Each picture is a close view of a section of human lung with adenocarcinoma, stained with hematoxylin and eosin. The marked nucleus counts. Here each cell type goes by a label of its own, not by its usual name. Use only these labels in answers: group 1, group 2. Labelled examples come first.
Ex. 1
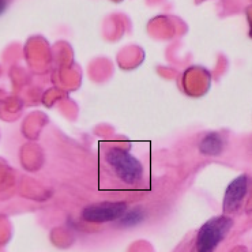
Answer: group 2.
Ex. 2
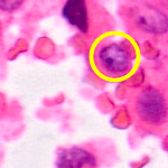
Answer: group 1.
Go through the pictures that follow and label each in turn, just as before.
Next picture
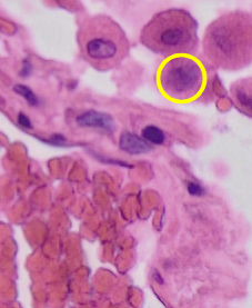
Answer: group 1.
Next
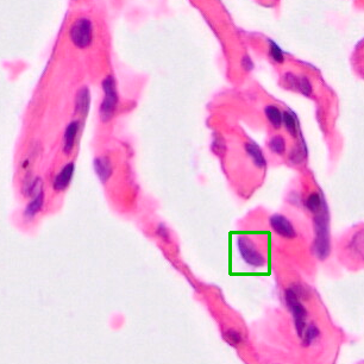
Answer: group 2.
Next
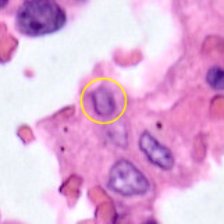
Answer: group 1.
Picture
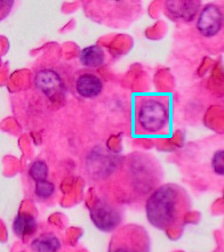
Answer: group 1.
